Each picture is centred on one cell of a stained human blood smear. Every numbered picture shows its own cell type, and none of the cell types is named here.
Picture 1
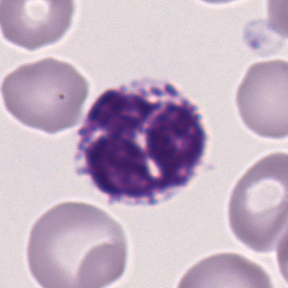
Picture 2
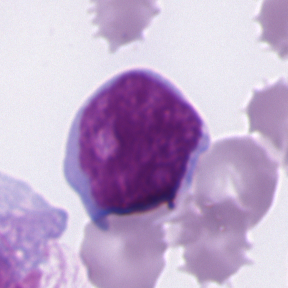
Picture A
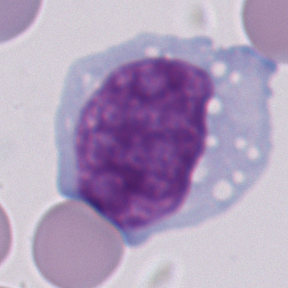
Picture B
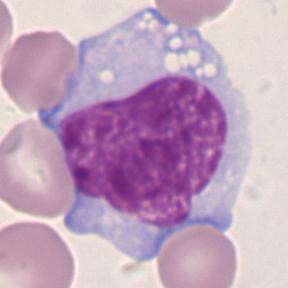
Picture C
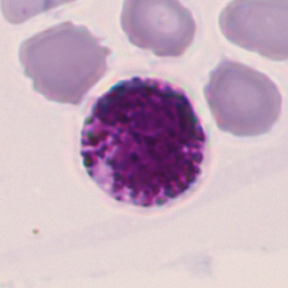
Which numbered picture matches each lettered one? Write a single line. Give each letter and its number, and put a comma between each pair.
A 2, B 2, C 1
